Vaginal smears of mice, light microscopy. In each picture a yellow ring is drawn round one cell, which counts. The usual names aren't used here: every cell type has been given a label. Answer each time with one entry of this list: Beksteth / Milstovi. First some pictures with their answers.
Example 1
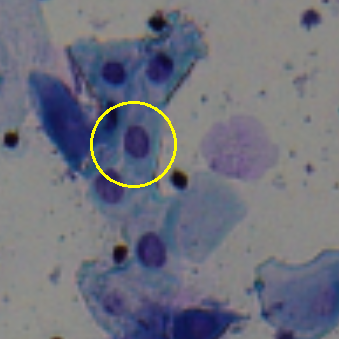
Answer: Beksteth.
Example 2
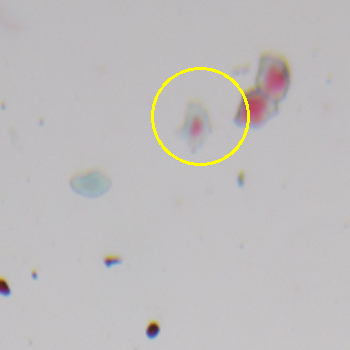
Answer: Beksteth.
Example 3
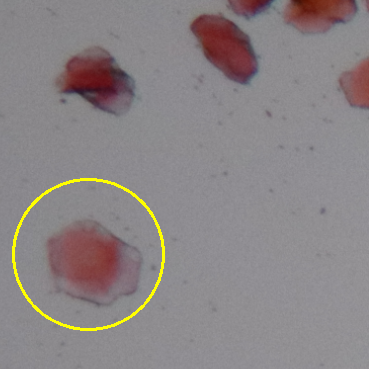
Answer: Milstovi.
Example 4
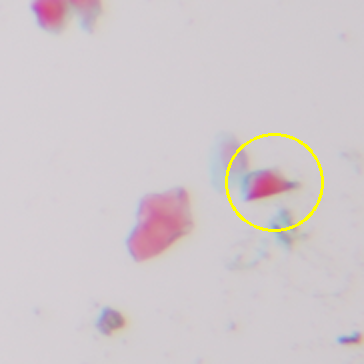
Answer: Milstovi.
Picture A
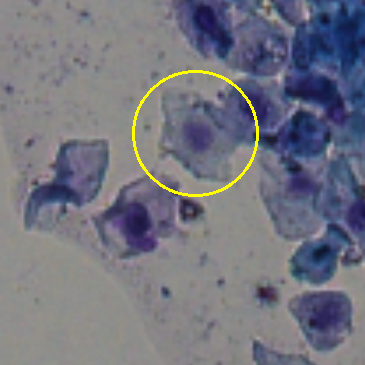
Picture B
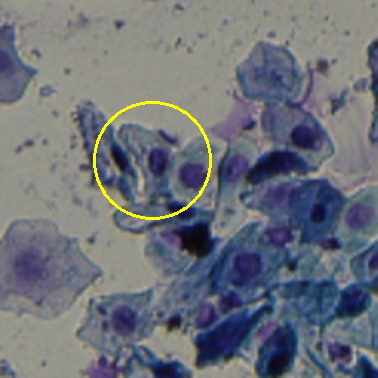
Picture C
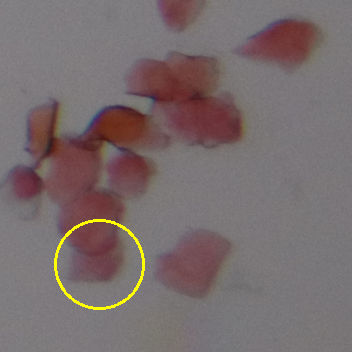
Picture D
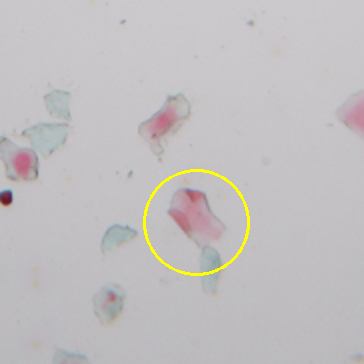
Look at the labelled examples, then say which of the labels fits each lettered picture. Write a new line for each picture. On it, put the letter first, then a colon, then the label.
A: Beksteth.
B: Beksteth.
C: Milstovi.
D: Milstovi.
